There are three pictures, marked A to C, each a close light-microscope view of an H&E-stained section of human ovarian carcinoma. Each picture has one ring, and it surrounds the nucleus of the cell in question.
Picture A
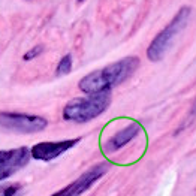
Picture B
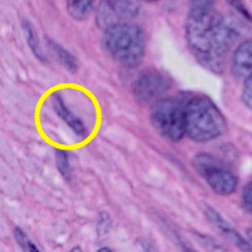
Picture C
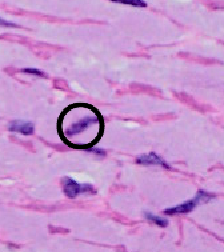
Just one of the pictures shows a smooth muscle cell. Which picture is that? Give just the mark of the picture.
A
